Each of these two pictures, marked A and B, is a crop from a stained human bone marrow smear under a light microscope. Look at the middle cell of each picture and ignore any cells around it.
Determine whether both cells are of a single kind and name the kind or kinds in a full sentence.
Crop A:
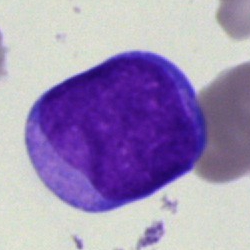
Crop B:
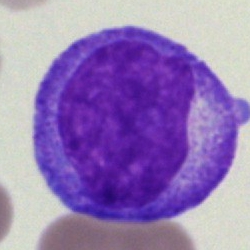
Yes, the cells at the centre of both crops are blasts.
